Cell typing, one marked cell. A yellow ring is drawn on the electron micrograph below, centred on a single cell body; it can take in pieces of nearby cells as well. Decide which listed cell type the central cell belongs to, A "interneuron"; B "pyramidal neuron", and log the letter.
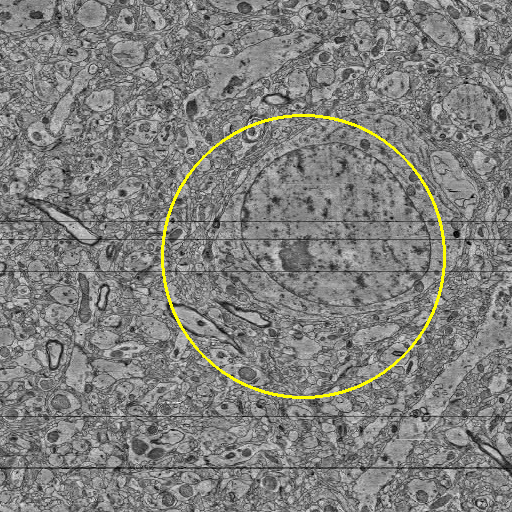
B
